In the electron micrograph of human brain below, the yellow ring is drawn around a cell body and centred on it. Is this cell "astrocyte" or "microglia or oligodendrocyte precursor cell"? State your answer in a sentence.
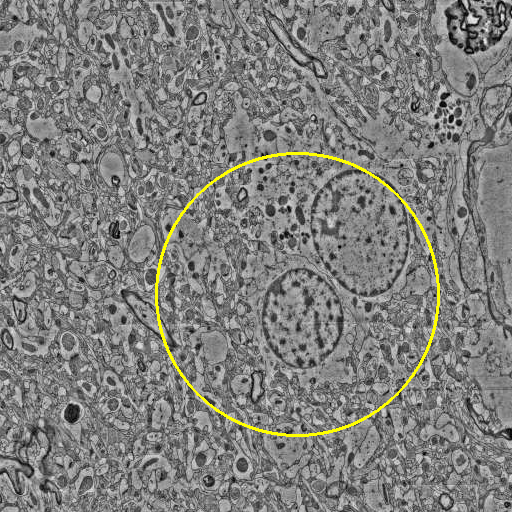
The cell in the middle of the ring is an astrocyte.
